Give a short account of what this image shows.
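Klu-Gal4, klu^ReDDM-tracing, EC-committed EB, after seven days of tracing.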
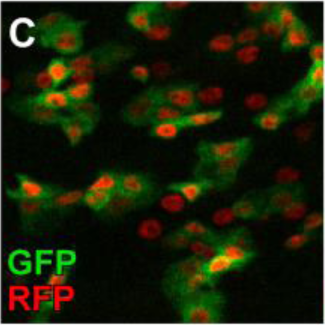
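A flat view of the midgut epithelium is crowded with many small green cells, each with a round red nucleus. The cells are irregular to elongated in outline and lie in loose clusters and chains. A few red nuclei sit without green cytoplasm around them.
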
